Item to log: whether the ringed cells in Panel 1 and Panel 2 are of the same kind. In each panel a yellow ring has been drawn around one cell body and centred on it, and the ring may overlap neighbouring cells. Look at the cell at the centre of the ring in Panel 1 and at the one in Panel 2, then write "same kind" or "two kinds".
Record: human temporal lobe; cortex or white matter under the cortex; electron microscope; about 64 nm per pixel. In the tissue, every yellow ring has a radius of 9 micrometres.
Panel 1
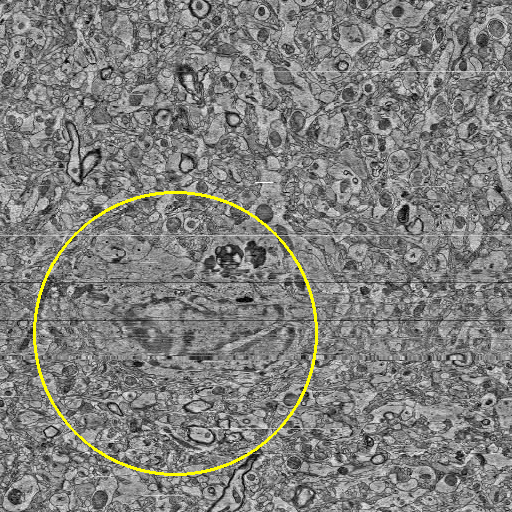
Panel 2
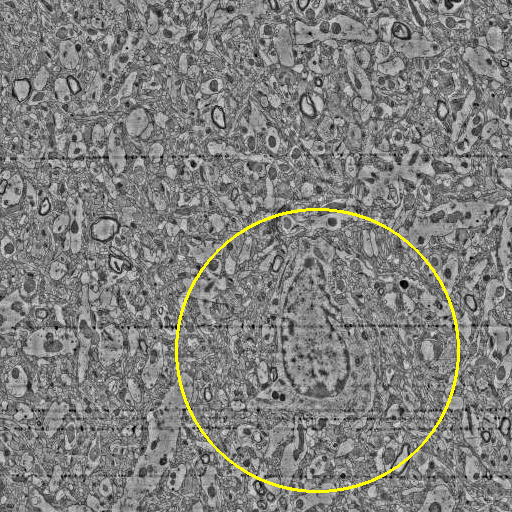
same kind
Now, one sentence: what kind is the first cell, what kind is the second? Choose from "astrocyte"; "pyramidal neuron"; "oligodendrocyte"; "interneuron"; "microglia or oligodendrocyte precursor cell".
In each picture the ringed cell is a microglial cell or oligodendrocyte precursor cell.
